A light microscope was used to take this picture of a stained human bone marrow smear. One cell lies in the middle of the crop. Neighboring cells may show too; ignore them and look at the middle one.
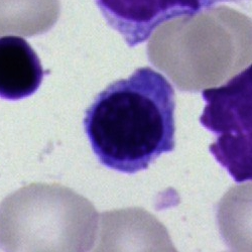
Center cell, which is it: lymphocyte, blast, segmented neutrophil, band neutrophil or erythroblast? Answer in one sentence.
The cell occupying the middle of the crop is an erythroblast.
